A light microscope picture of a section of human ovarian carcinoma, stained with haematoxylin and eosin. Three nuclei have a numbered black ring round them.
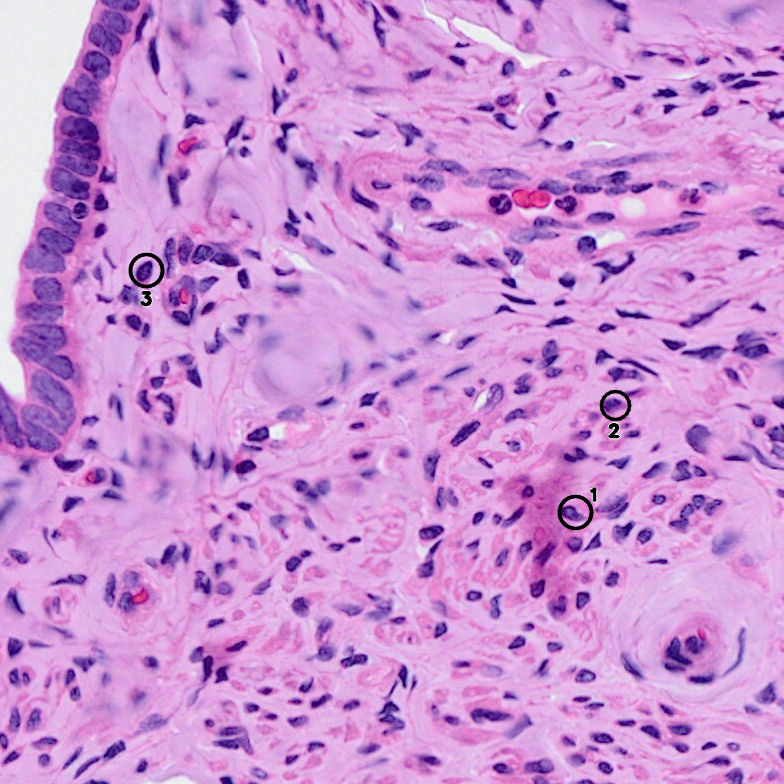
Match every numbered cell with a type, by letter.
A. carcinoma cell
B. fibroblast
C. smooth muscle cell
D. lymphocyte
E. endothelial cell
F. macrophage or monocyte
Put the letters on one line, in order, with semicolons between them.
C; C; D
